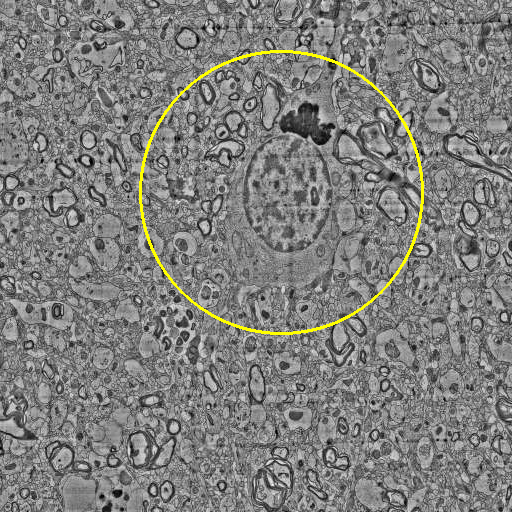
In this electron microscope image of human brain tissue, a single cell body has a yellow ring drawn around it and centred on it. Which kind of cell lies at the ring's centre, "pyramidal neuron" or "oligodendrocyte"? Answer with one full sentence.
It is an oligodendrocyte whose cell body lies at the centre of the yellow ring here.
